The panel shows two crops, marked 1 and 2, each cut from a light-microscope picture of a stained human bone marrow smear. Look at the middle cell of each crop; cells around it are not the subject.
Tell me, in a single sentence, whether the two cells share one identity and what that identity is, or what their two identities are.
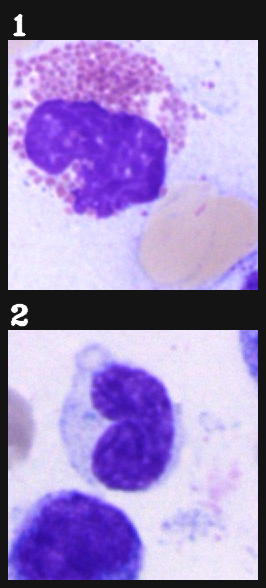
No, the cell shown in crop 1 is an eosinophil, and the cell shown in crop 2 is a metamyelocyte.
